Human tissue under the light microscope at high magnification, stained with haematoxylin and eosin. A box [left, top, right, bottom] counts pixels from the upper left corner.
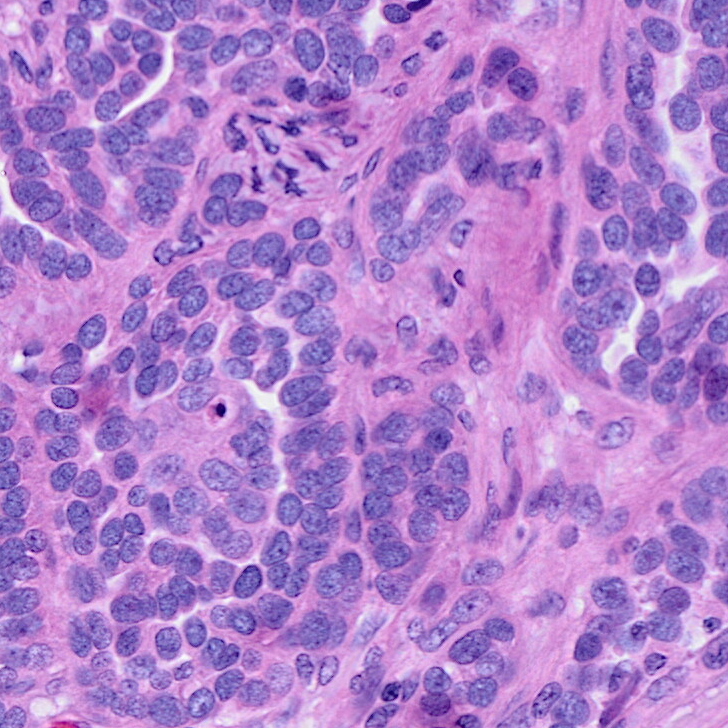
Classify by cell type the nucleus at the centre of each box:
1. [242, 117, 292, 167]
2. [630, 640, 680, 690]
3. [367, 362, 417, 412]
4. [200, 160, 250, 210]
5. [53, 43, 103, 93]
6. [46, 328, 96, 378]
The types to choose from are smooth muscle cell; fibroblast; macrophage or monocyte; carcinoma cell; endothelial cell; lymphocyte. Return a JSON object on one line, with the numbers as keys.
{"1": "fibroblast", "2": "macrophage or monocyte", "3": "fibroblast", "4": "carcinoma cell", "5": "carcinoma cell", "6": "carcinoma cell"}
